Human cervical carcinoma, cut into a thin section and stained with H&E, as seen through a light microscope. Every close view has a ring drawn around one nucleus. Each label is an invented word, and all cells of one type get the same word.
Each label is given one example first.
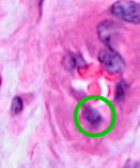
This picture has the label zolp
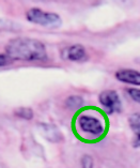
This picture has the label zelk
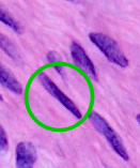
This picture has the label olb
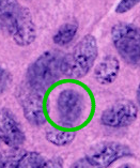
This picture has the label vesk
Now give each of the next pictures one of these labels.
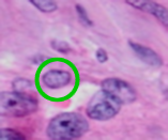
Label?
zolp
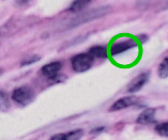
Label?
zelk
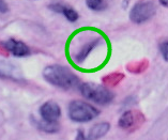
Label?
zolp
